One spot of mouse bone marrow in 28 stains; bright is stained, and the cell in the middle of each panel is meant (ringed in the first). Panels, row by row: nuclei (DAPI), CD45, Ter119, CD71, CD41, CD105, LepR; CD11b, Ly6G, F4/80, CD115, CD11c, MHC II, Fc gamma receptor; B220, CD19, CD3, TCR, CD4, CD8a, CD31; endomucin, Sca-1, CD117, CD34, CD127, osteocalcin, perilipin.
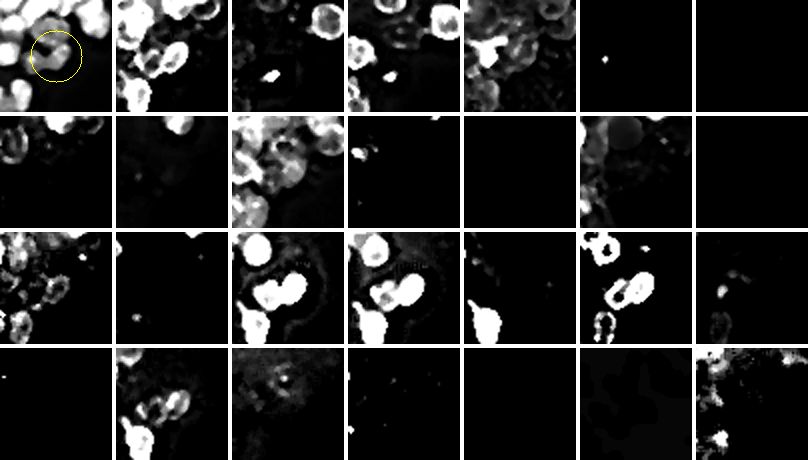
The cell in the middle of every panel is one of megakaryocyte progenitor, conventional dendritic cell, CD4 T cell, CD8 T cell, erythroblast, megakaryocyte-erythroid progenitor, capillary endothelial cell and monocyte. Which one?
CD8 T cell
